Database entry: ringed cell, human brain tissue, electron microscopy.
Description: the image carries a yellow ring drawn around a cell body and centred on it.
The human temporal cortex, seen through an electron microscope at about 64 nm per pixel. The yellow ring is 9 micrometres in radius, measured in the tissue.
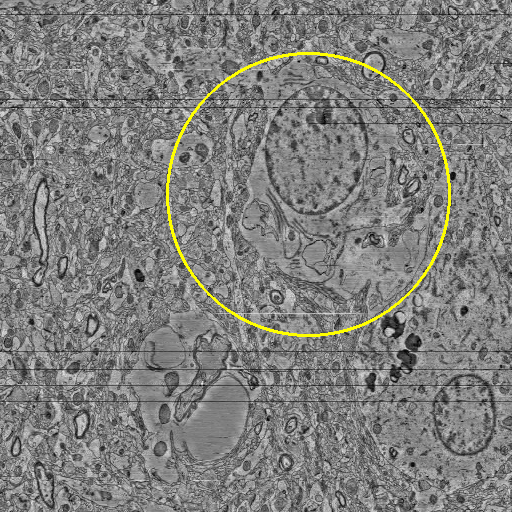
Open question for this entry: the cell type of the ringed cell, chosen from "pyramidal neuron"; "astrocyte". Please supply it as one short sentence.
The ringed cell is an astrocyte.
